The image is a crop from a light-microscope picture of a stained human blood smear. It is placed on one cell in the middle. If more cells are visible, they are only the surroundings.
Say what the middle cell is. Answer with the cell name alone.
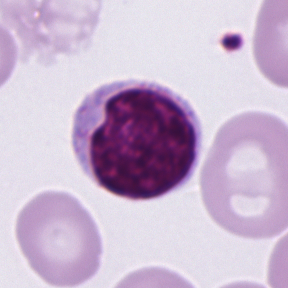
large granular lymphocyte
